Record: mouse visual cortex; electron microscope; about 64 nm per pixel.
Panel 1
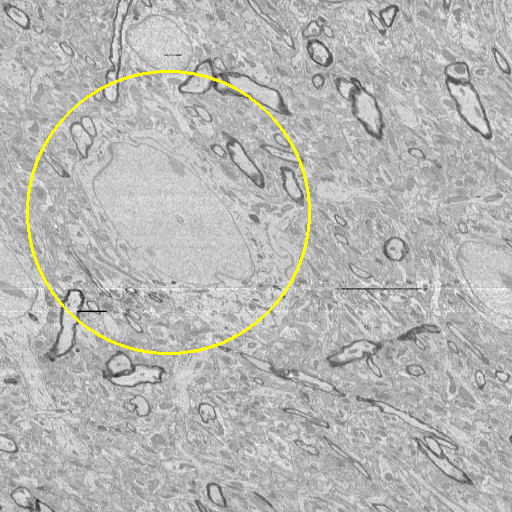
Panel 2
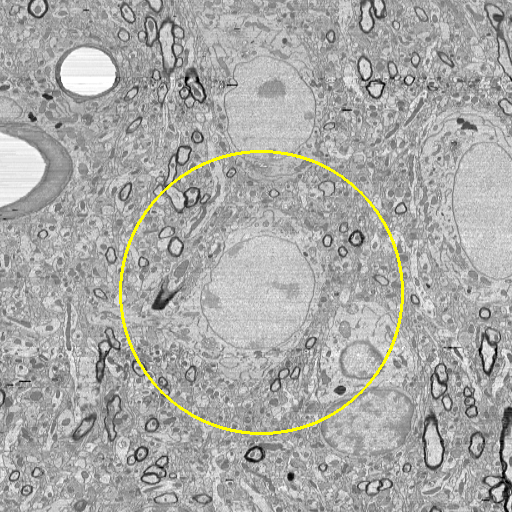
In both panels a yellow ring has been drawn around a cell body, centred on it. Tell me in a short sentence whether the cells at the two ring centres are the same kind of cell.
Yes, they are the same kind of cell.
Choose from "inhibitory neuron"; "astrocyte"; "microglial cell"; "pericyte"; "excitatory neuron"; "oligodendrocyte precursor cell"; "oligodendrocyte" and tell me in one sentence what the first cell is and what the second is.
Each one of the two ringed cells is an excitatory neuron.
